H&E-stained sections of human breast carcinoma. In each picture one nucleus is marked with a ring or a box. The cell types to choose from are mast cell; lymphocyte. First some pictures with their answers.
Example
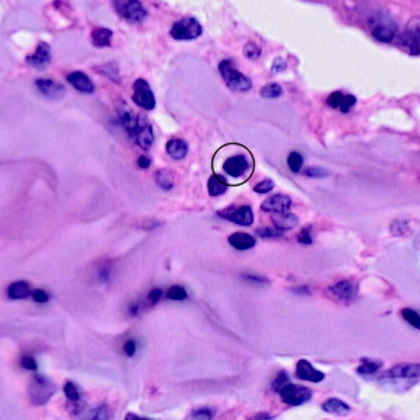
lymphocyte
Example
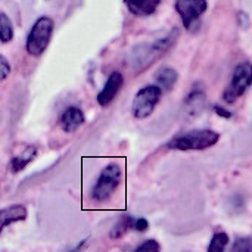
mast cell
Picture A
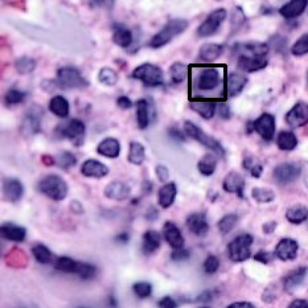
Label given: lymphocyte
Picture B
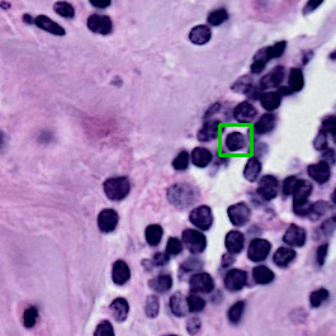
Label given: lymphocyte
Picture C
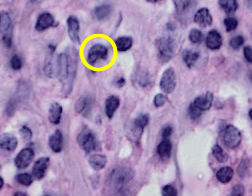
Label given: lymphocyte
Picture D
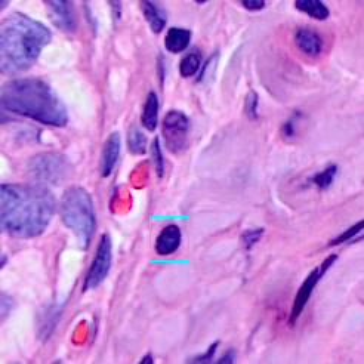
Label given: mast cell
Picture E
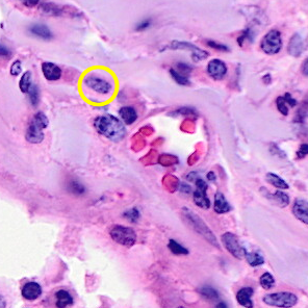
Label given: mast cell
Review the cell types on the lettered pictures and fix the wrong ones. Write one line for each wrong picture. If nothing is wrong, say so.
Nothing to fix; every label fits.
